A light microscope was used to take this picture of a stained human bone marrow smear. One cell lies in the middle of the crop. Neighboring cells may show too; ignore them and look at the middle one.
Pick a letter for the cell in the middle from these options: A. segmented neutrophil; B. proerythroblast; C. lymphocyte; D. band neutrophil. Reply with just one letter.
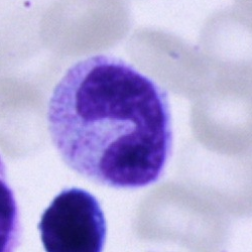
D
